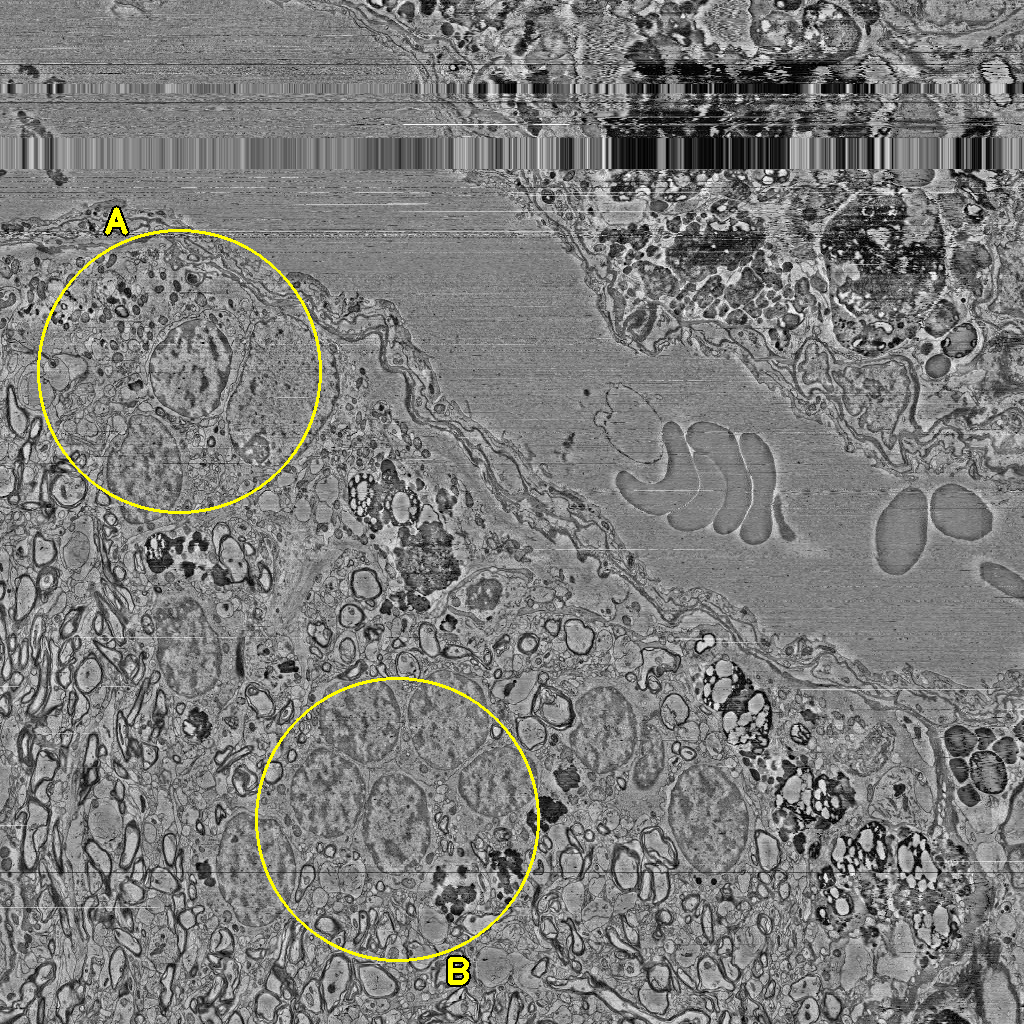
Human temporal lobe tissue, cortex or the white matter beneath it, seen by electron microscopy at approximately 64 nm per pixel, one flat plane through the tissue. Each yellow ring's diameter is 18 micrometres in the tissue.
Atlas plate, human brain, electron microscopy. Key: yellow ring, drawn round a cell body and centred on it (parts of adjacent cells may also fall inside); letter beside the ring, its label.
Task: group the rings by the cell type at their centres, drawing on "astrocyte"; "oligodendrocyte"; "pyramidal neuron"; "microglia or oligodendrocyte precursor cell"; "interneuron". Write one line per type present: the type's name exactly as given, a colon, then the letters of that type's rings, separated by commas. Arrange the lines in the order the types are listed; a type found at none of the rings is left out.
oligodendrocyte: B
microglia or oligodendrocyte precursor cell: A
